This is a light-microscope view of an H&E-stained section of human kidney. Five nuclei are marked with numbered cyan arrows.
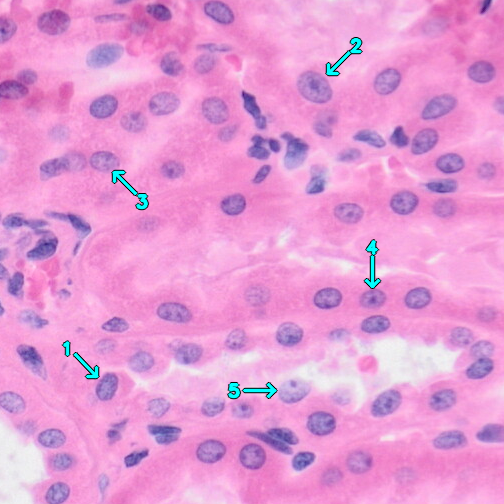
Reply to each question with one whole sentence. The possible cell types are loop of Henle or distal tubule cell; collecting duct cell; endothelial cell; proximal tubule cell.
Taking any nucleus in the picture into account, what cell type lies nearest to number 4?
It is a loop of Henle or distal tubule cell whose nucleus is nearest to number 4.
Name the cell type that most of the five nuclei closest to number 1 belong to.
Of the five nuclei nearest to number 1, most belong to loop of Henle or distal tubule cells.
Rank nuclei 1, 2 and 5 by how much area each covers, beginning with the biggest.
From largest to smallest, the order is 2, 5, 1.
